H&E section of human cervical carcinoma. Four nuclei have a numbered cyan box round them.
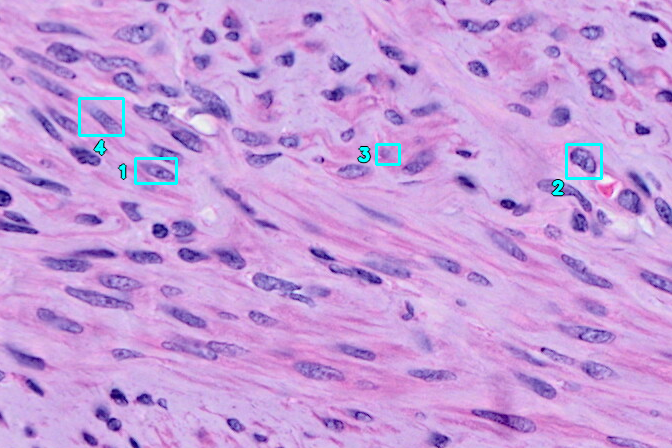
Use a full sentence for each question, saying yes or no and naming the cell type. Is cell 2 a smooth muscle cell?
No, the cell under number 2 is an endothelial cell instead of a smooth muscle cell.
